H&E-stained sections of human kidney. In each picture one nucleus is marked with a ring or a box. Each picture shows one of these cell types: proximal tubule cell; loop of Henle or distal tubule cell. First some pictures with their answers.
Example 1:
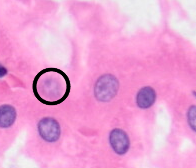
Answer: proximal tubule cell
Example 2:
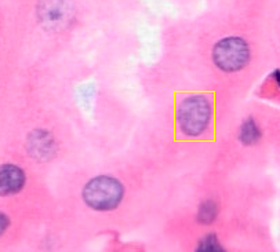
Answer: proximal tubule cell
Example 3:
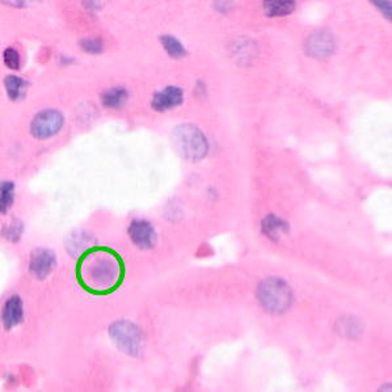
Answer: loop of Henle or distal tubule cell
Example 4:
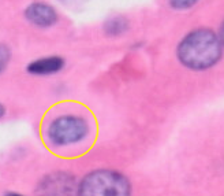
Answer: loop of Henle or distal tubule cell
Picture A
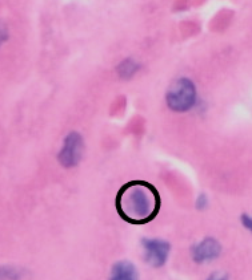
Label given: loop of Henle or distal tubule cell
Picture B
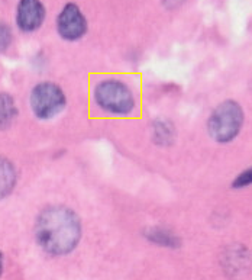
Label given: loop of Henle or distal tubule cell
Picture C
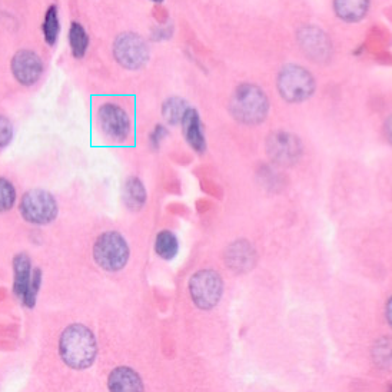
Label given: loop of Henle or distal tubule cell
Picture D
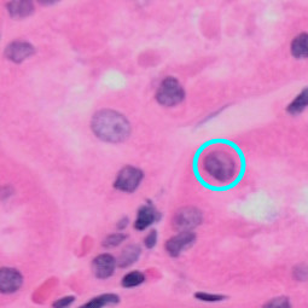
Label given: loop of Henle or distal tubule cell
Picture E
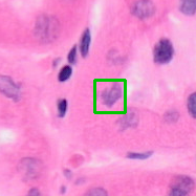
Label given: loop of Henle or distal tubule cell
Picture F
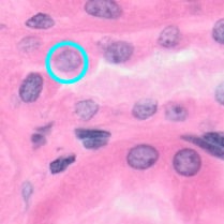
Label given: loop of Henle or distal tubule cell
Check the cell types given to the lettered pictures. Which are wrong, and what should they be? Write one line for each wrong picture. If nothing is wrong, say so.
D: proximal tubule cell, not loop of Henle or distal tubule cell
